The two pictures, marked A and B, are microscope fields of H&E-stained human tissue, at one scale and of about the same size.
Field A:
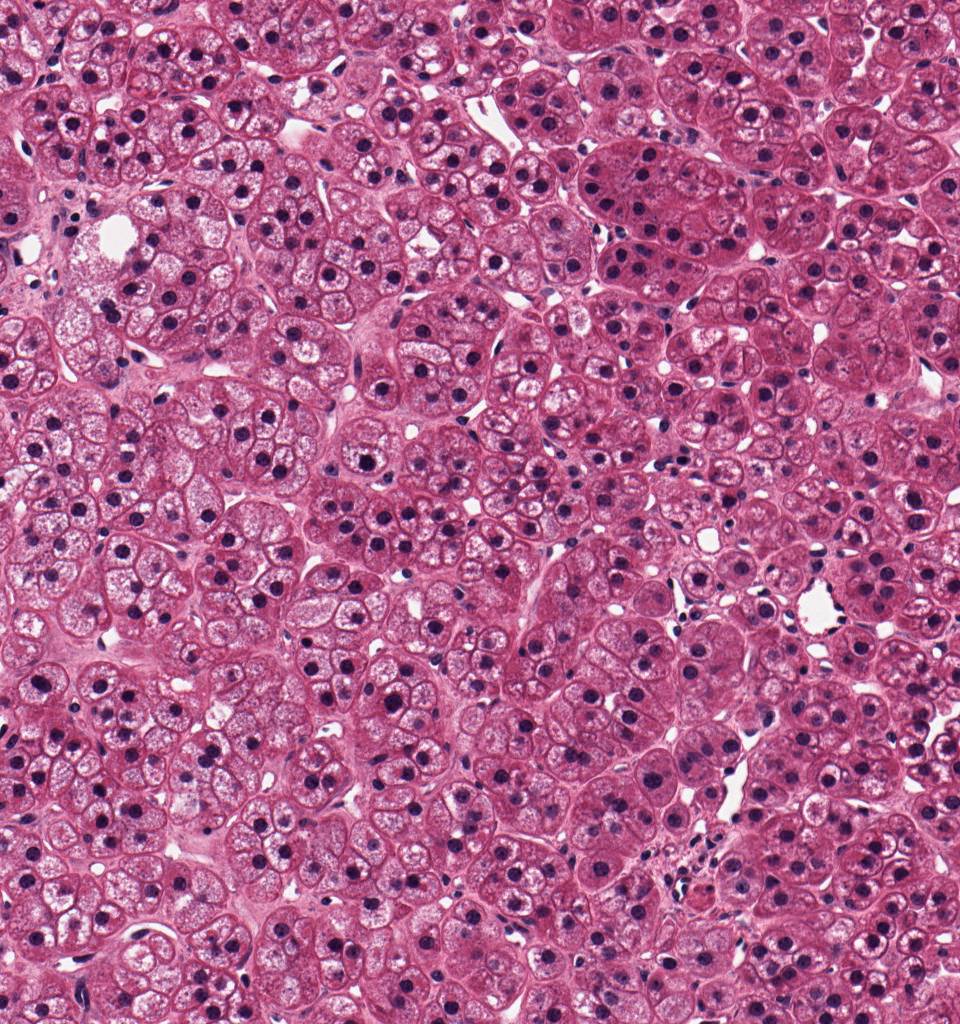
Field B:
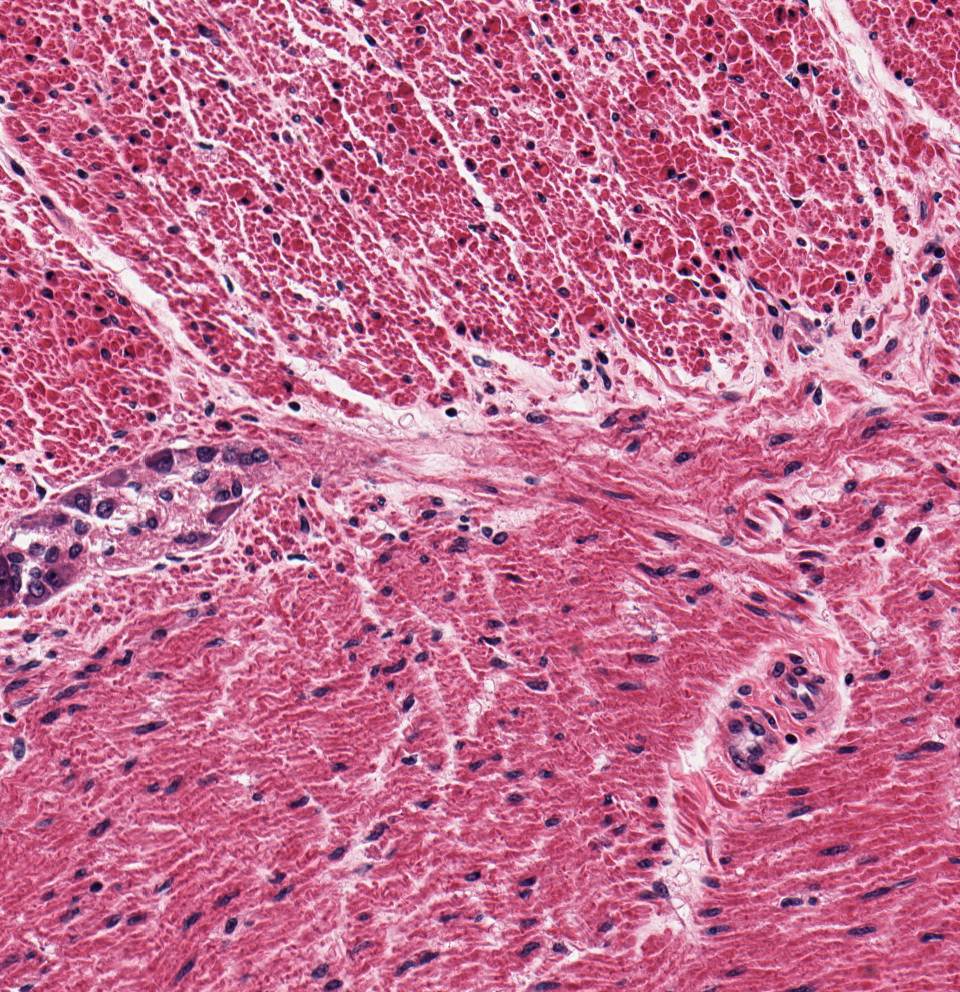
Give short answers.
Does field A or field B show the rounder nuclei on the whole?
A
